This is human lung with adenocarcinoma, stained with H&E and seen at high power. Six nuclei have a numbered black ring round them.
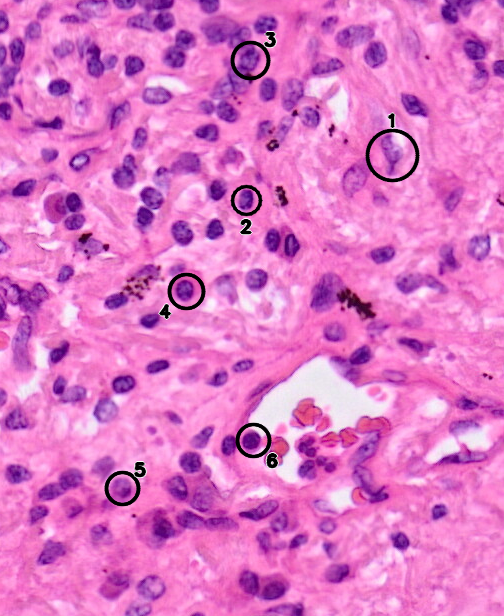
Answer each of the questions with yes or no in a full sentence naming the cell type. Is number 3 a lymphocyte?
Yes, in this section the cell numbered 3 is a lymphocyte.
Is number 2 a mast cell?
No, at number 2 sits a lymphocyte, not a mast cell.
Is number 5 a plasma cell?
Yes, cell 5 is a plasma cell in this tissue section.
